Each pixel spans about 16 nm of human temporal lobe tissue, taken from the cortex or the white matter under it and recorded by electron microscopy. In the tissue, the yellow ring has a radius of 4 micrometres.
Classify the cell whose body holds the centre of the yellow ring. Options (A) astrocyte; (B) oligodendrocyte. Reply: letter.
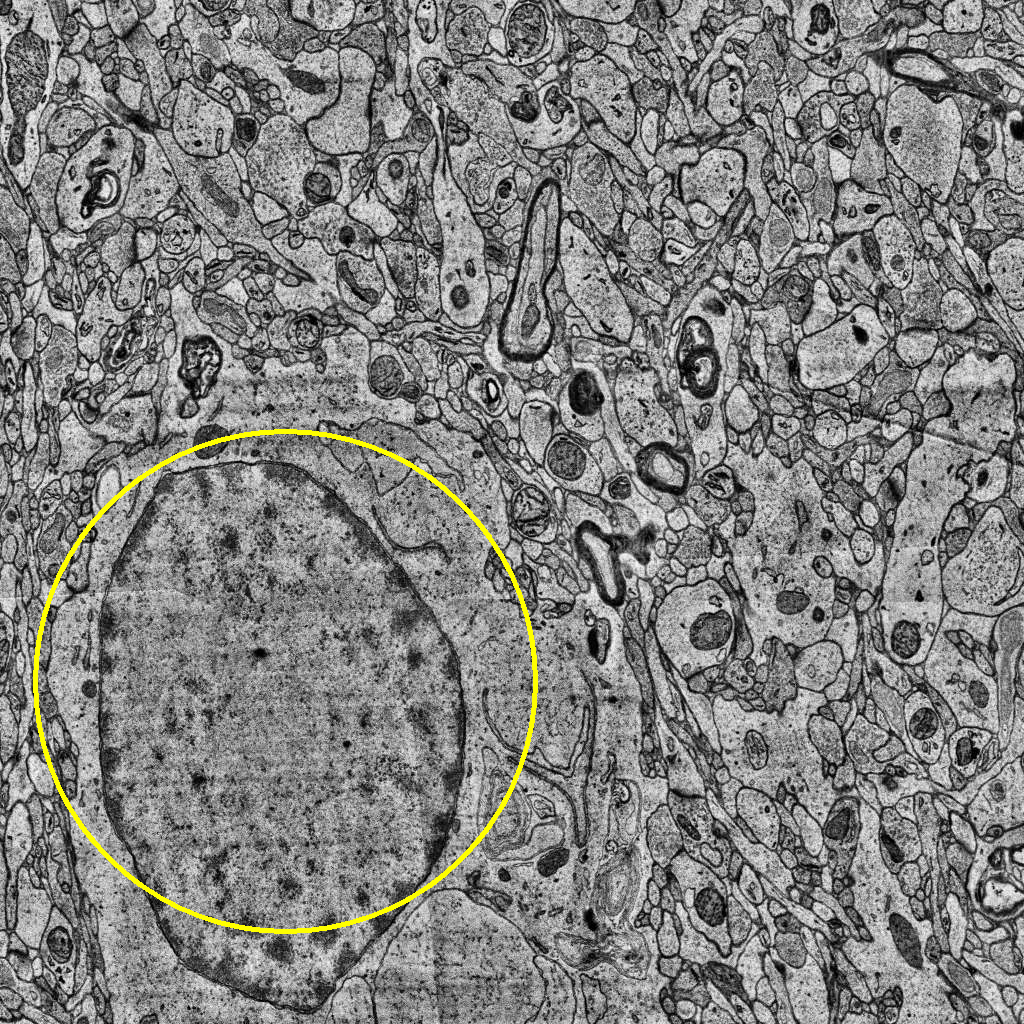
A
